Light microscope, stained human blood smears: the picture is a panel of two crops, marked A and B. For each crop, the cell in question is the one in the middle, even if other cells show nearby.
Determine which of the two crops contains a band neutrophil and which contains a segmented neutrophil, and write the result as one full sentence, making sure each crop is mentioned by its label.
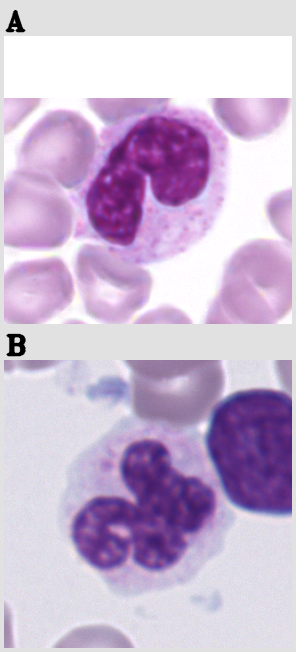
Identified in crop A is a band neutrophil, with a segmented neutrophil identified in crop B.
